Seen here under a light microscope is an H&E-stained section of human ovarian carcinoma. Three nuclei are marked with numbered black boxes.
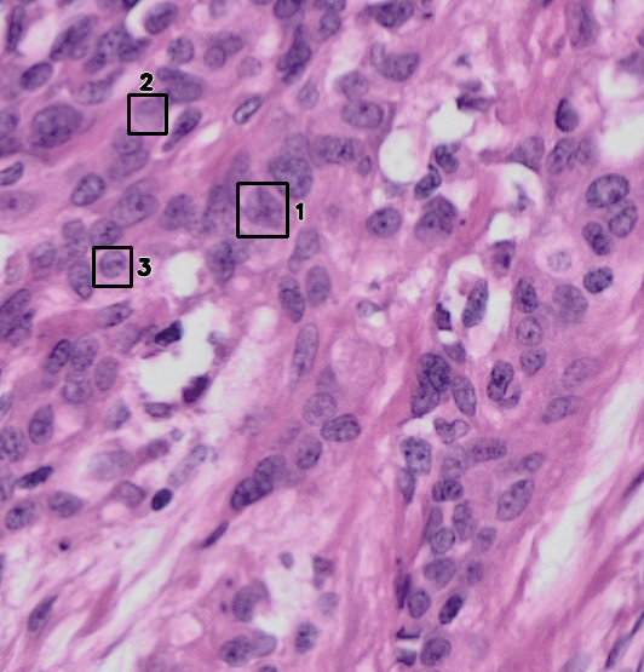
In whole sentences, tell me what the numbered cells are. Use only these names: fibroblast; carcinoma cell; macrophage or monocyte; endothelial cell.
Cell 1 is a carcinoma cell, cell 2 is a carcinoma cell and cell 3 is a macrophage or monocyte.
